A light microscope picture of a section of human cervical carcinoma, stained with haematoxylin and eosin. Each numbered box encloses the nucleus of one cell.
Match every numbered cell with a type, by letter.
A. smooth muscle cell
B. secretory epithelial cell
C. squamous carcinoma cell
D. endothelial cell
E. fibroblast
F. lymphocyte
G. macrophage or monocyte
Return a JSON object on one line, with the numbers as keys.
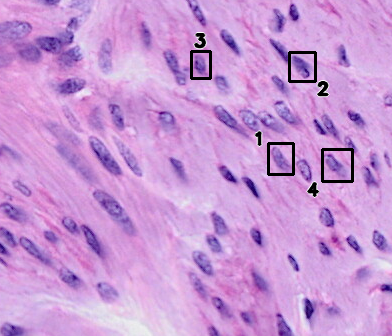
{"1": "A", "2": "E", "3": "A", "4": "A"}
